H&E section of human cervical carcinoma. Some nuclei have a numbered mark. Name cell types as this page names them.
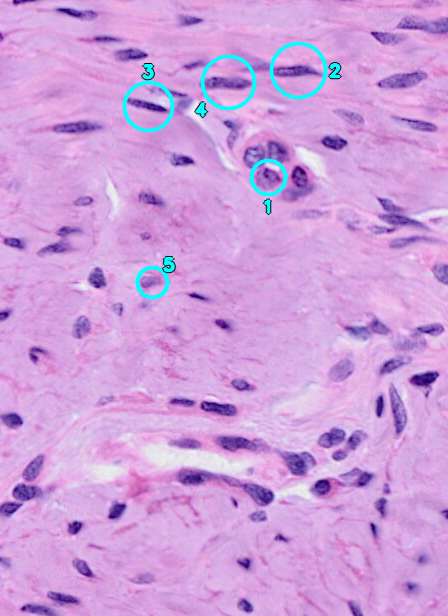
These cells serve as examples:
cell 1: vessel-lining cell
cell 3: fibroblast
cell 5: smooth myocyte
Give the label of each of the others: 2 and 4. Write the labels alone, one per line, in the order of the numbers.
fibroblast
fibroblast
